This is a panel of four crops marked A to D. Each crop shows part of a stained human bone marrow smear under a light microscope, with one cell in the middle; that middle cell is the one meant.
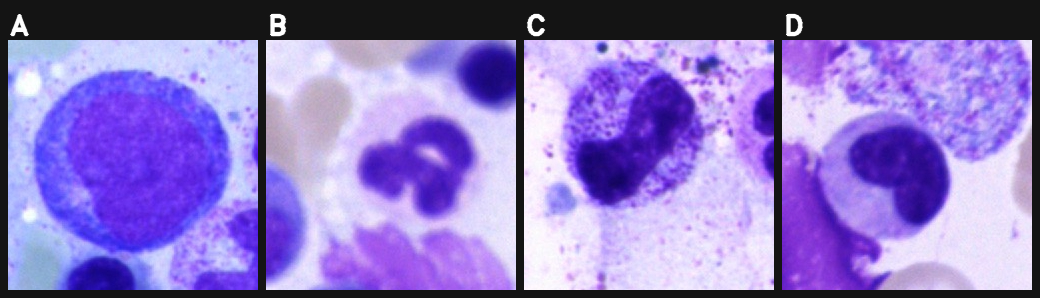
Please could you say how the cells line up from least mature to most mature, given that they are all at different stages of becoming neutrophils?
A, D, C, B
